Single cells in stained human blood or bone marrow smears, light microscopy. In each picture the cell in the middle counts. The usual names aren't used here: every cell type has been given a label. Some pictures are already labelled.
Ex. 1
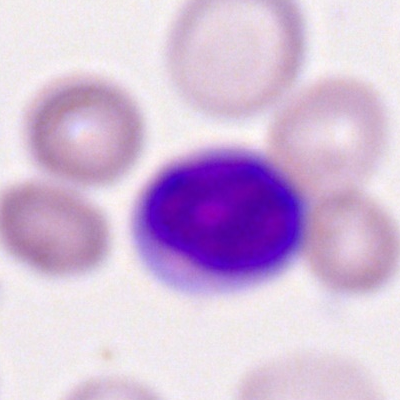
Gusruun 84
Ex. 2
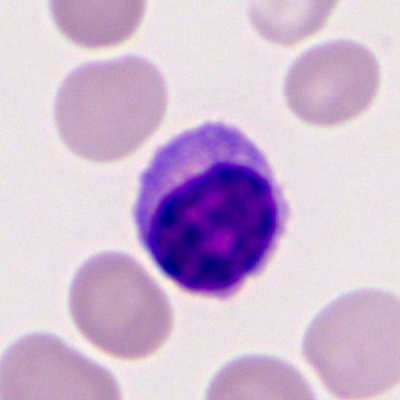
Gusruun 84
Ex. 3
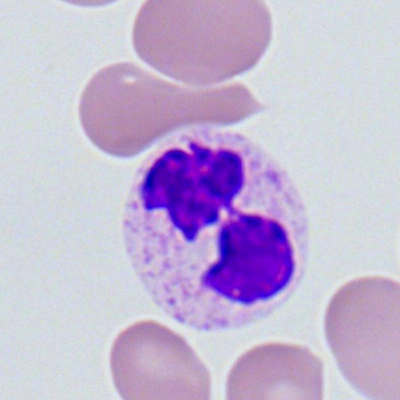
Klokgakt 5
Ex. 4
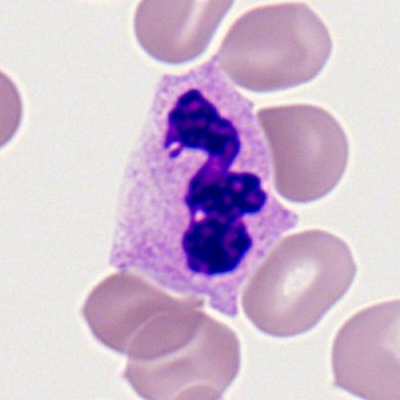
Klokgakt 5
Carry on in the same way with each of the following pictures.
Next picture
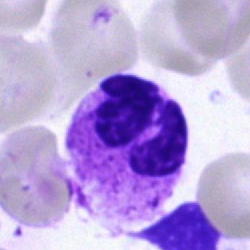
Klokgakt 5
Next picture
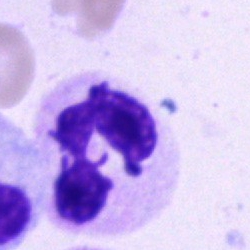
Klokgakt 5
